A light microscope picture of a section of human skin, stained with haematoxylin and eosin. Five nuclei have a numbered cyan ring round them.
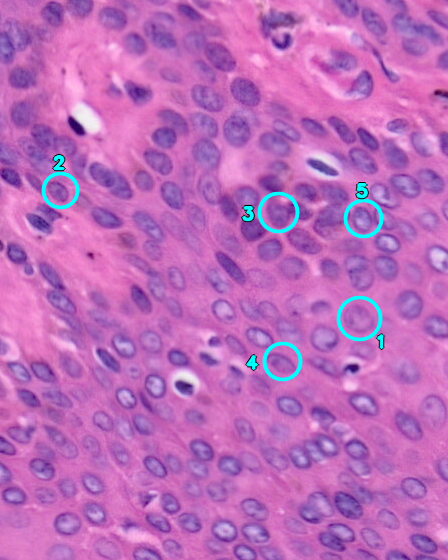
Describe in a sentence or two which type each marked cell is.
Cell 1 is a suprabasal keratinocyte, cell 2 is a basal keratinocyte, cell 3 is a basal keratinocyte, cell 4 is a suprabasal keratinocyte and cell 5 is a suprabasal keratinocyte.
